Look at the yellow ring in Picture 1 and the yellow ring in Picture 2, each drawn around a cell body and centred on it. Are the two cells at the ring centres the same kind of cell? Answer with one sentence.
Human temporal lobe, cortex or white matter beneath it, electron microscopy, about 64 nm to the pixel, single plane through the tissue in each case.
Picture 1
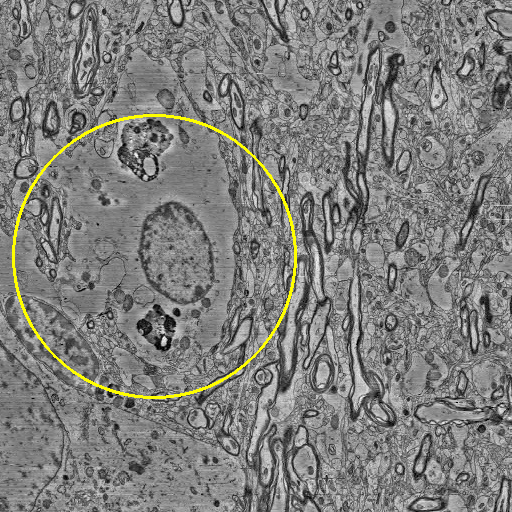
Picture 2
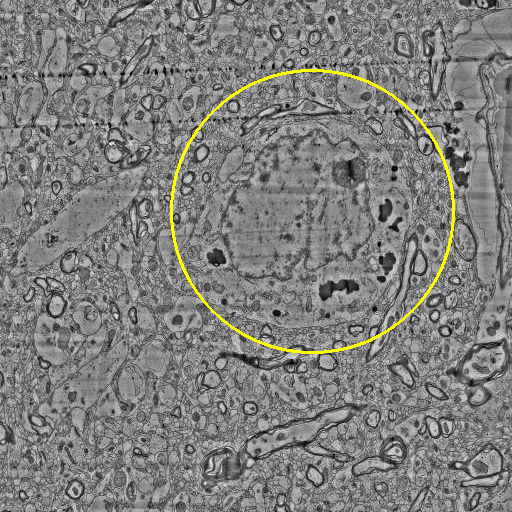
No, they are cells of two kinds.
